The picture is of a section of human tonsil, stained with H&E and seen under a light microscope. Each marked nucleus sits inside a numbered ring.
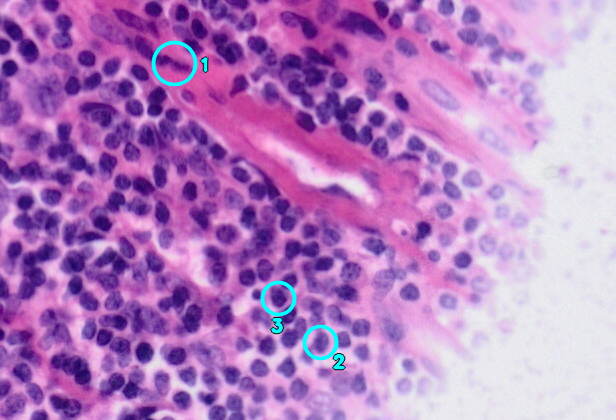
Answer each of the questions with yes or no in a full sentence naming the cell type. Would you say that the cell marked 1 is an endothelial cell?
Yes, to put it simply, cell number 1 is an endothelial cell.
